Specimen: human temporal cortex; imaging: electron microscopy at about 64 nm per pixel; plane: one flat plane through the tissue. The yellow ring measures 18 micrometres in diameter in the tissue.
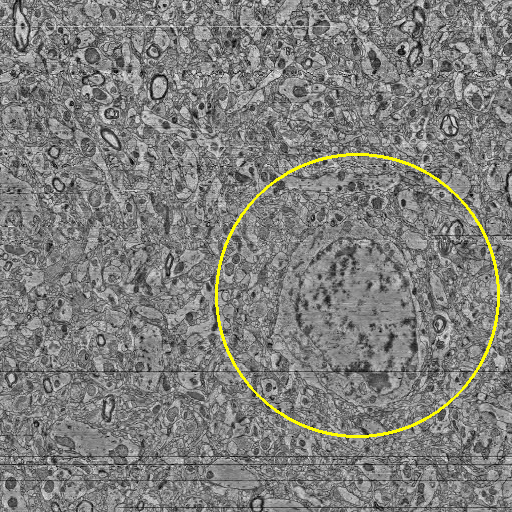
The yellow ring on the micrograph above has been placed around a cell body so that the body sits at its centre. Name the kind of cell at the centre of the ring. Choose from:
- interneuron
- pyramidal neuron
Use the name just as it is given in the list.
interneuron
